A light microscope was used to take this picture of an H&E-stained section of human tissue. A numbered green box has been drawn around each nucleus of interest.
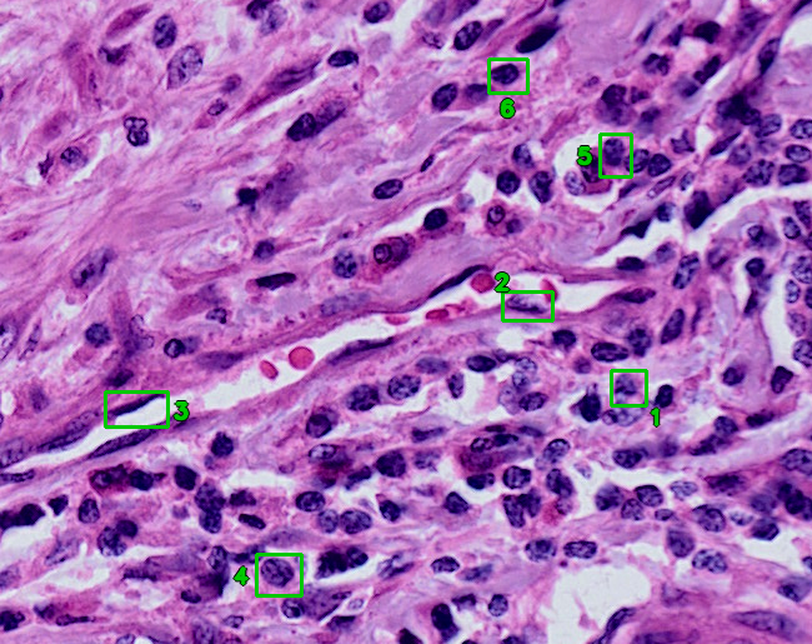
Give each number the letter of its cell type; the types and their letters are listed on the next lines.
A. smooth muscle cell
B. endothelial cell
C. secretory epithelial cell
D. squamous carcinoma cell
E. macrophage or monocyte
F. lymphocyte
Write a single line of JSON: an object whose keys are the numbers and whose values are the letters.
{"1": "F", "2": "B", "3": "B", "4": "F", "5": "F", "6": "F"}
